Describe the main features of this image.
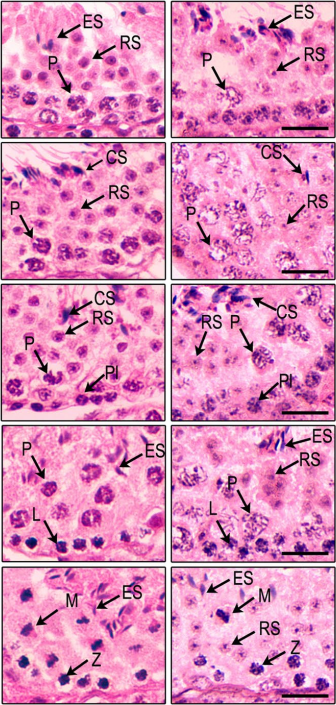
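These are crops of seminiferous epithelium stained pink and purple, showing germ cells in successive stages from the base toward the lumen. Near the base lie early spermatocytes with small dark nuclei, above them large pachytene spermatocytes with coarse, thread-like chromatin, then round spermatids with small pale round nuclei, and toward the lumen condensed and elongated spermatids with slender, dark blue heads. In the right column, rounded spermatid-like cells remain in the later stages where elongated heads would be expected.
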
